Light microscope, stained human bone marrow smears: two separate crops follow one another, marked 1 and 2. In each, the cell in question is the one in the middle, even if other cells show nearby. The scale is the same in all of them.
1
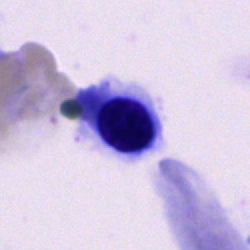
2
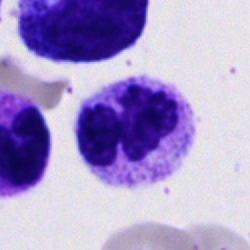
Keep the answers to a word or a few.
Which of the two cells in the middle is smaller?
1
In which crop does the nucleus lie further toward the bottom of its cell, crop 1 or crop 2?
1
